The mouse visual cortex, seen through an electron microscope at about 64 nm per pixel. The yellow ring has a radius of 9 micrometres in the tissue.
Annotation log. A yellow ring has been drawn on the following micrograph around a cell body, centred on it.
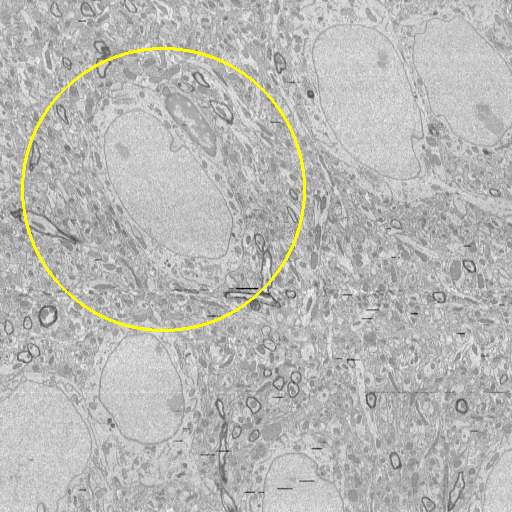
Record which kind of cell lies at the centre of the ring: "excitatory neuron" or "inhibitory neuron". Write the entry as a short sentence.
The cell the ring is centred on is an excitatory neuron.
